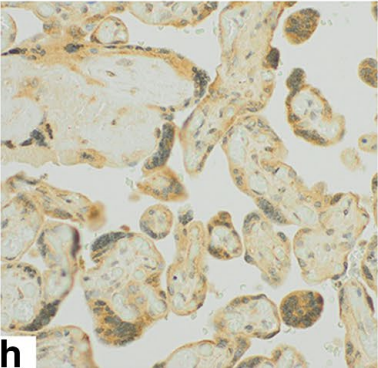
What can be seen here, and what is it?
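This is placental tissue made of many chorionic villi cut in cross and oblique section, lying free in pale open spaces. Each villus has a loose, pale stromal core bounded by a thin continuous covering of trophoblast. The covering layer and parts of the cores are stained light to moderate brown. Dark blue-grey nuclei crowd together in knots and clusters along the villous surface. Smaller villi appear as rounded or oval profiles, while larger ones are elongated and branching.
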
